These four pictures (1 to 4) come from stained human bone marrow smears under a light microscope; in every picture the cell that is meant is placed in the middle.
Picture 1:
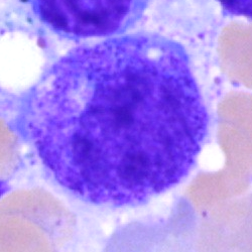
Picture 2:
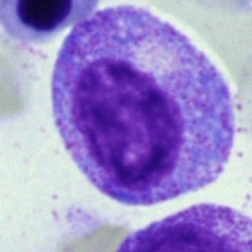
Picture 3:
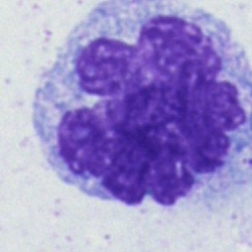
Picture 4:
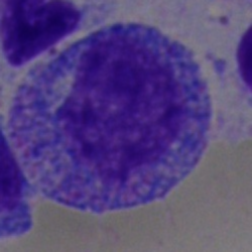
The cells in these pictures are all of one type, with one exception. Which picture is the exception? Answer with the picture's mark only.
3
